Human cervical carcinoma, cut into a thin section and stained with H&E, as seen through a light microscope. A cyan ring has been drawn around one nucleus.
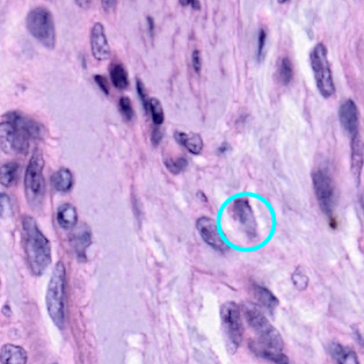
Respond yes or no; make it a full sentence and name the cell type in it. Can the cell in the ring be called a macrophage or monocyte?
Yes, to put it simply, the cell in the ring is a macrophage or monocyte.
